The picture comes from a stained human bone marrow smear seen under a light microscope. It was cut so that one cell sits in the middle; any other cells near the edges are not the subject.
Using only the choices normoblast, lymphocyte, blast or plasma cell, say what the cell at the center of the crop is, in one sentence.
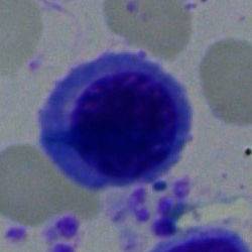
Centred in the crop is a normoblast.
